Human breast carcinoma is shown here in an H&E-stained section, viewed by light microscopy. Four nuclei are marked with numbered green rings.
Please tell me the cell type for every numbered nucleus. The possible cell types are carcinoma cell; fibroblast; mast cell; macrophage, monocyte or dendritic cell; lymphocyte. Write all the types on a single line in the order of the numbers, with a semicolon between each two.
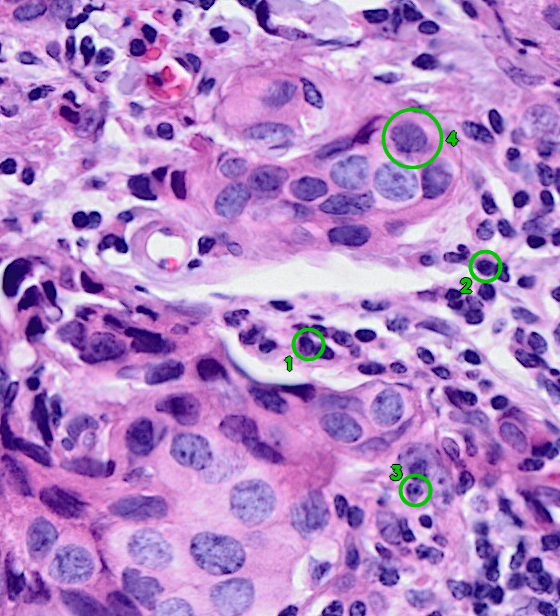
lymphocyte; lymphocyte; lymphocyte; carcinoma cell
